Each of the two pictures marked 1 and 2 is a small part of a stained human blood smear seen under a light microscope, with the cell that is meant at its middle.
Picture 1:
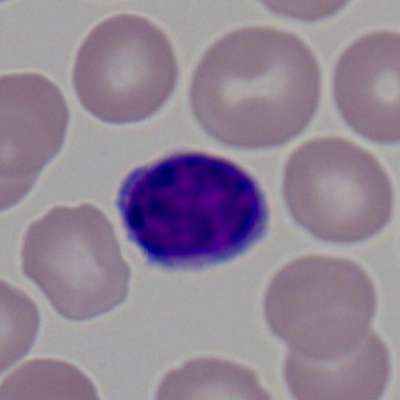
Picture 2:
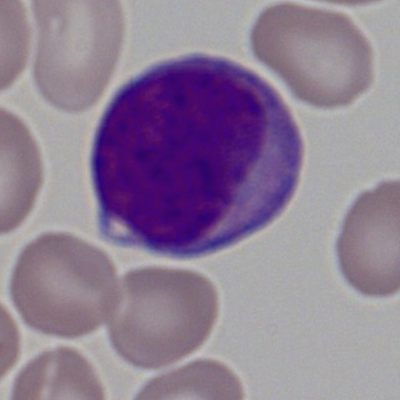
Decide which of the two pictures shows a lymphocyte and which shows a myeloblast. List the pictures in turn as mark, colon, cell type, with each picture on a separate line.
1: lymphocyte
2: myeloblast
